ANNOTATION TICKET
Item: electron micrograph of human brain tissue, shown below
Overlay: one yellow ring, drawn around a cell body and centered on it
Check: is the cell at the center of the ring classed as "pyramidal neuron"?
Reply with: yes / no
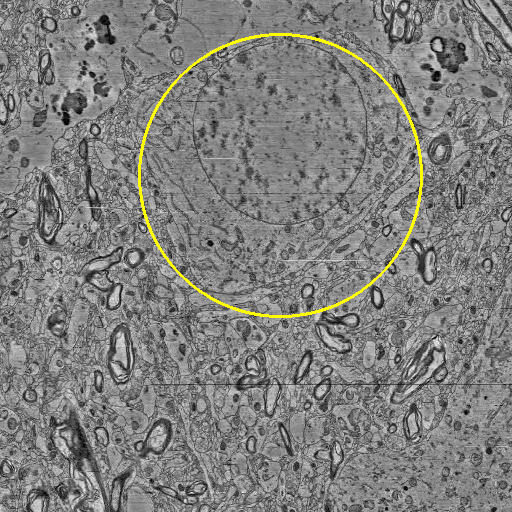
yes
